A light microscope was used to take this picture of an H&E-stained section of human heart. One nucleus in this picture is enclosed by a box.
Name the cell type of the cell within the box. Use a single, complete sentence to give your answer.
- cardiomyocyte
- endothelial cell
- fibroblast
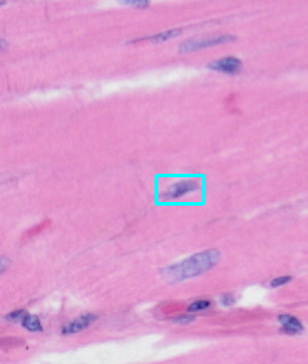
In cellular terms, the cell within the box is an endothelial cell.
